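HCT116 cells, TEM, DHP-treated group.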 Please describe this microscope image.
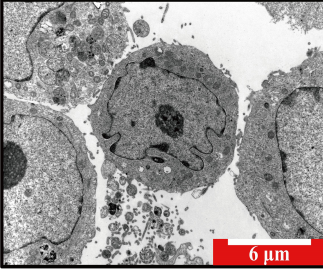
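Cultured tumour cell in thin section, with features of apoptosis. Coarse clumps of condensed chromatin line the nuclear envelope, and a dense mass lies near the nuclear centre. The cytoplasmic rim is narrow. Small membrane-bound fragments and debris lie in the space around the cell.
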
